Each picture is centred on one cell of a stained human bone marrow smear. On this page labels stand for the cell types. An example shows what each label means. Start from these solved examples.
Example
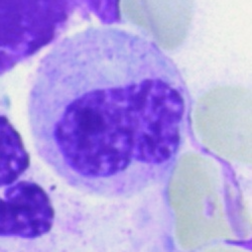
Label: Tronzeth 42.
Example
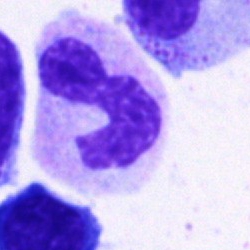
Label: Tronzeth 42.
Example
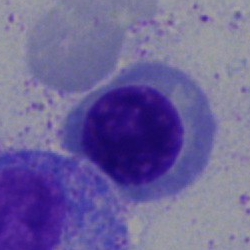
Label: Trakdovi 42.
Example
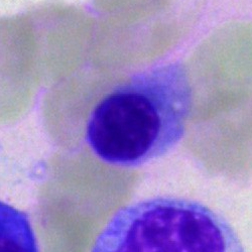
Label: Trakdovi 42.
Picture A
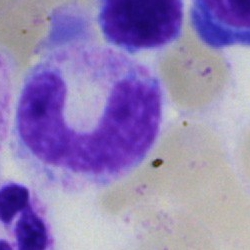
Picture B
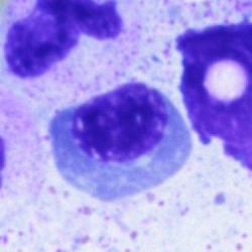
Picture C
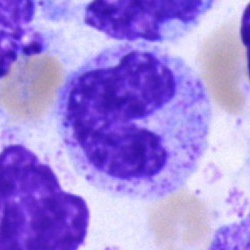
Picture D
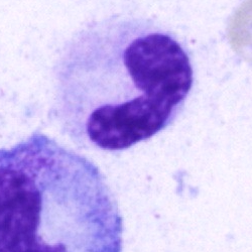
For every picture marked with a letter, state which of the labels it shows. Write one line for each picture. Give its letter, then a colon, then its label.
A: Tronzeth 42.
B: Trakdovi 42.
C: Tronzeth 42.
D: Tronzeth 42.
